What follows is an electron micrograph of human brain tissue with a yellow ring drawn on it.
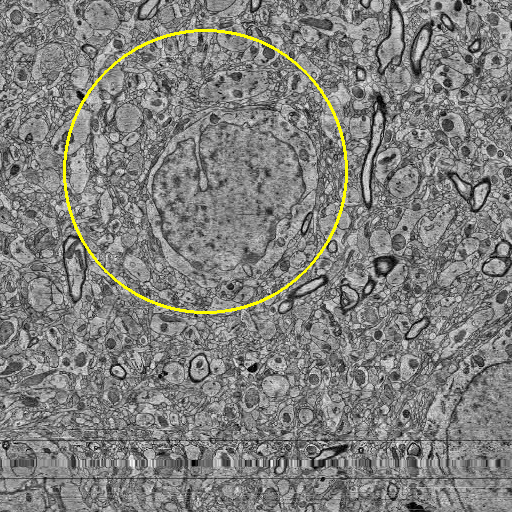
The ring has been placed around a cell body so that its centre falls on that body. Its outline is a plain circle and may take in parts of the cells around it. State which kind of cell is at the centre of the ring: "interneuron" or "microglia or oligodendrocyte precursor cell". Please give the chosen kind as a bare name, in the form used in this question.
interneuron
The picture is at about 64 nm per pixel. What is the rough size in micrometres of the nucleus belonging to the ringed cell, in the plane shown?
About 9 micrometres across in this plane.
